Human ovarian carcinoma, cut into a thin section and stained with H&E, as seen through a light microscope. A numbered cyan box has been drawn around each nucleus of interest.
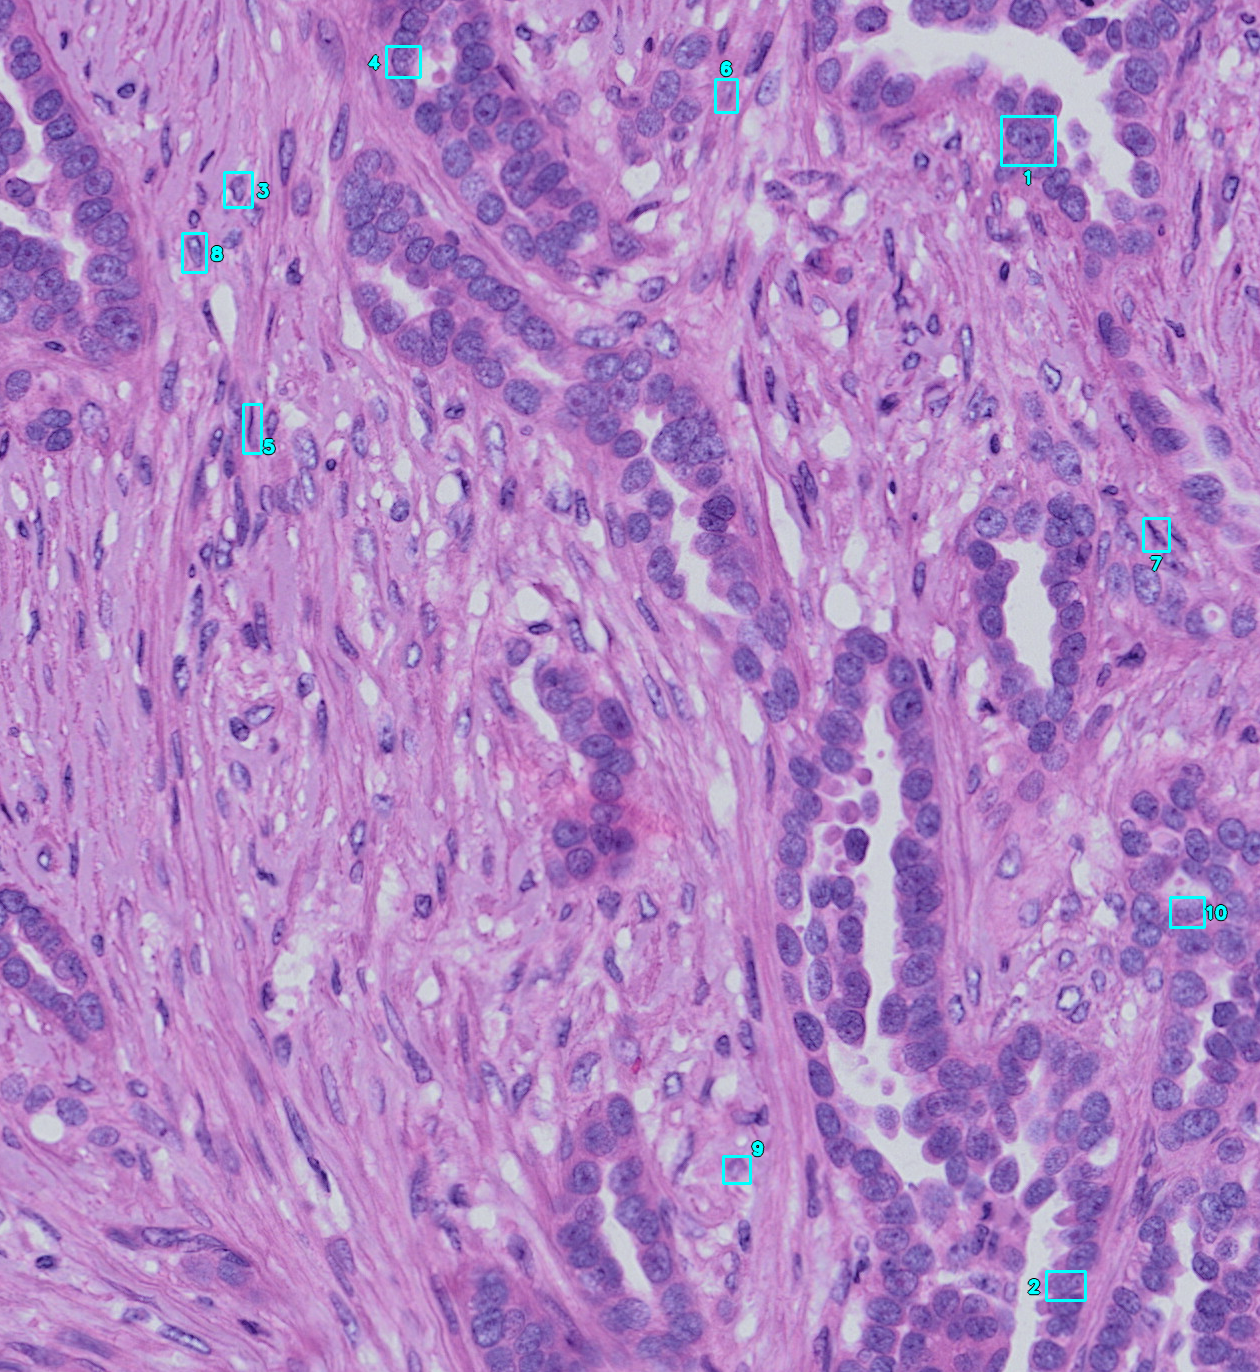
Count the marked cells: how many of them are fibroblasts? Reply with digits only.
6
